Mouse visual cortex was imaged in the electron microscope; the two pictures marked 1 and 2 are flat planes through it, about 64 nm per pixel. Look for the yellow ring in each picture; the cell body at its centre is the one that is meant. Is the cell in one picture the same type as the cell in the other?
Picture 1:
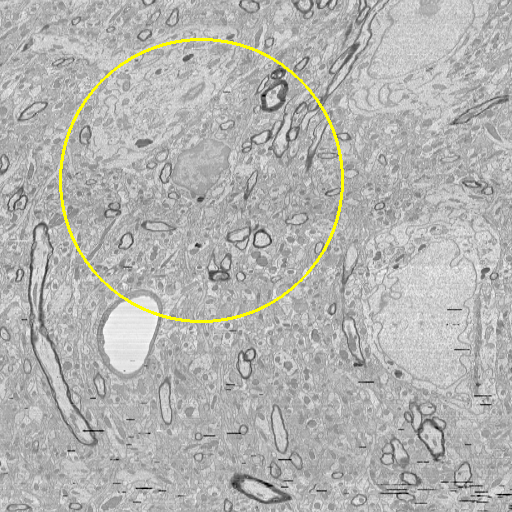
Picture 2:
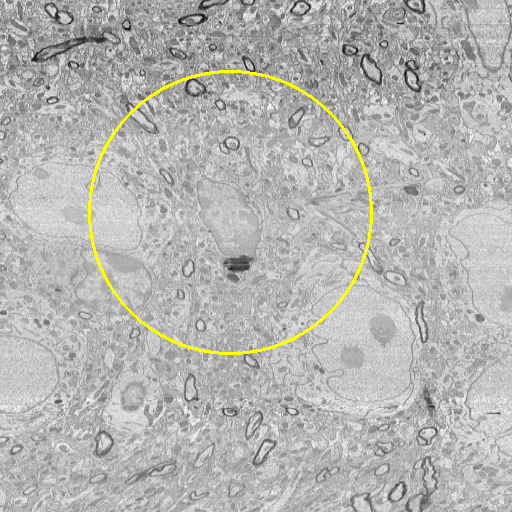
Yes, both are microglial cells.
